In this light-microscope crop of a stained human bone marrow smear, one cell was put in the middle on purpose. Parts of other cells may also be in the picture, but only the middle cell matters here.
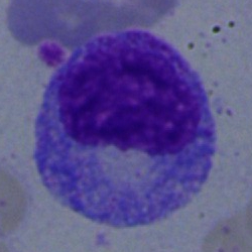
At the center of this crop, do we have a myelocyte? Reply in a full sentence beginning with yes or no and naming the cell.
No, the cell in the middle is recognised as a promyelocyte rather than a myelocyte.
